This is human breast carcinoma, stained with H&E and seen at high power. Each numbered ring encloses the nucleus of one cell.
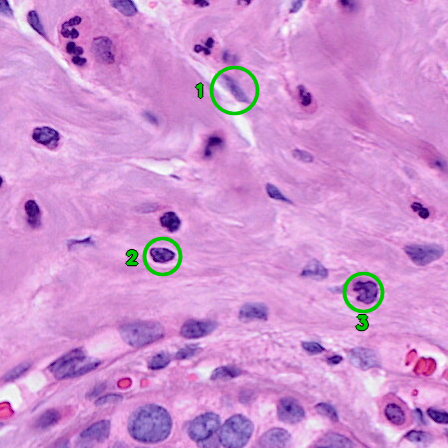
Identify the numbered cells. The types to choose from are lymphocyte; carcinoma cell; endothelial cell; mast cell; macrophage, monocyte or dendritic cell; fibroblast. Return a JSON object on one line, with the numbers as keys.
{"1": "fibroblast", "2": "lymphocyte", "3": "macrophage, monocyte or dendritic cell"}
